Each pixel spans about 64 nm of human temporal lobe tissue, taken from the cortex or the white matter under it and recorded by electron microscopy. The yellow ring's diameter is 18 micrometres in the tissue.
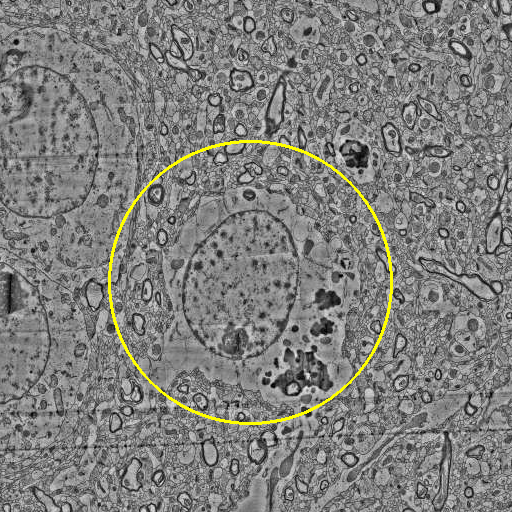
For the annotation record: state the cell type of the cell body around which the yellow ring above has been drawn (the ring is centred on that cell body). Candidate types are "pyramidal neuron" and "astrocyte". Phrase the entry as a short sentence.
The ringed cell is an astrocyte.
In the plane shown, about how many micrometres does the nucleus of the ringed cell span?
Approximately 10 by 7 micrometers in this plane.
